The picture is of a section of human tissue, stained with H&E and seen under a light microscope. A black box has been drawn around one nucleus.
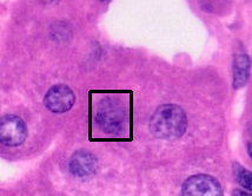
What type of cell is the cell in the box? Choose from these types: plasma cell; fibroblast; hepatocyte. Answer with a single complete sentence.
The cell in the box appears to be a hepatocyte.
